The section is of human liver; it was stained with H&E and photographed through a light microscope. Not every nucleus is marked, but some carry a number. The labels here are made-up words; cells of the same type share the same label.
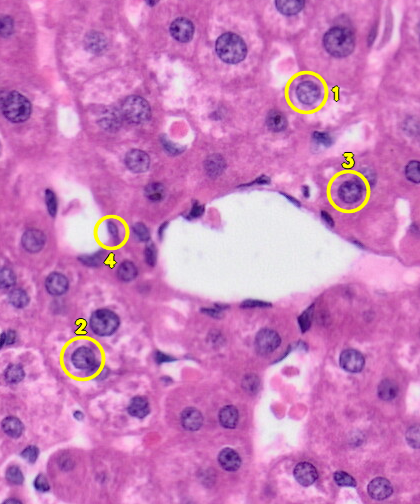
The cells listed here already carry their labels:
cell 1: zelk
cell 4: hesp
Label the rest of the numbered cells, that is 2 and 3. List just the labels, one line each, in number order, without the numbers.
zelk
zelk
